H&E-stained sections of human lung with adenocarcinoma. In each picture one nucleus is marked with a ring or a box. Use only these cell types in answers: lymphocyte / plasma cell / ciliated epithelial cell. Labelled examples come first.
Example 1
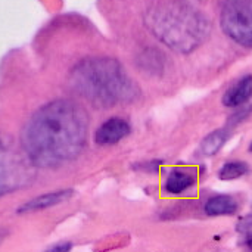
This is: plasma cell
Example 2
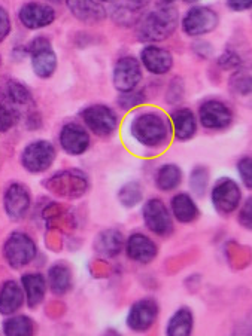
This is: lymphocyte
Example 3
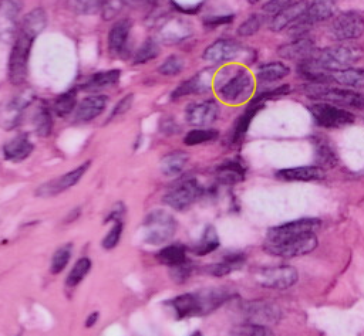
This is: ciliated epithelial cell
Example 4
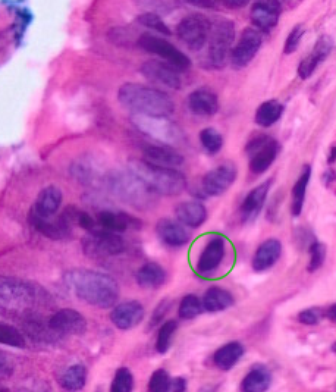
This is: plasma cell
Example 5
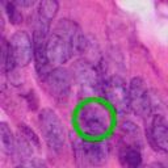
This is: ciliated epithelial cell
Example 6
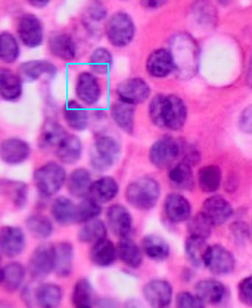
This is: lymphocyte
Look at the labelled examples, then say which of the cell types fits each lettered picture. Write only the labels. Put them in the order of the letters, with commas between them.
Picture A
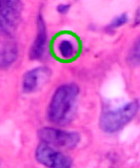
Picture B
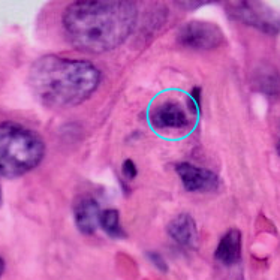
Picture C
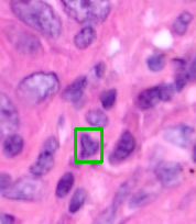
lymphocyte, plasma cell, plasma cell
